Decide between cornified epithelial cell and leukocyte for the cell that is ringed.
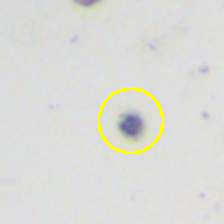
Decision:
I take the ringed cell for a leukocyte.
